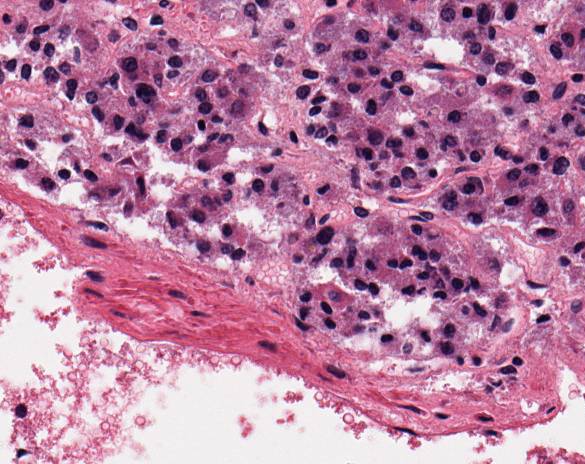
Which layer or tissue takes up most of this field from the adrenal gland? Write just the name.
medulla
